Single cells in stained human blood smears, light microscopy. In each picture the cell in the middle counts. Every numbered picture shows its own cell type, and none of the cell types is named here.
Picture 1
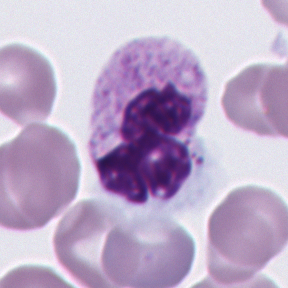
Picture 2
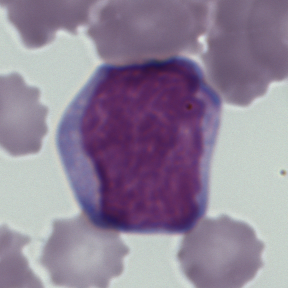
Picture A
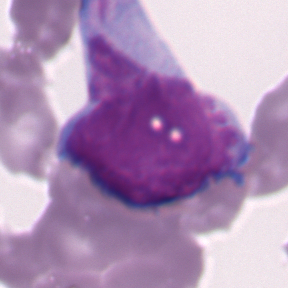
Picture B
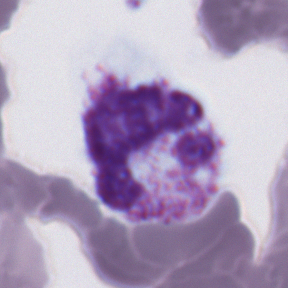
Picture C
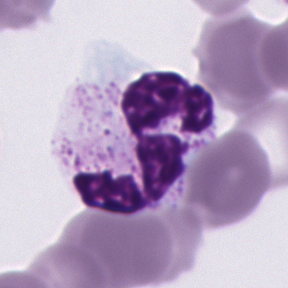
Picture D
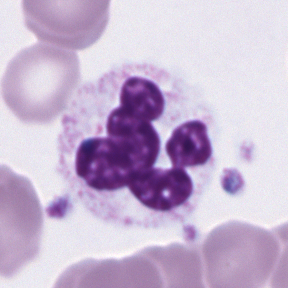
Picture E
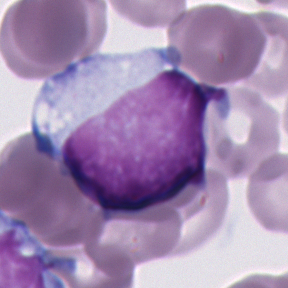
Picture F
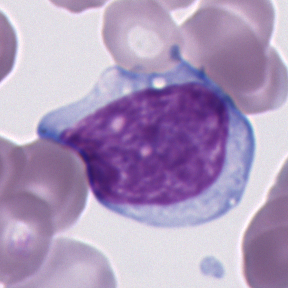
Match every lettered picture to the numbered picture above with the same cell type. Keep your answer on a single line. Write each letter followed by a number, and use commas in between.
A 2, B 1, C 1, D 1, E 2, F 2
